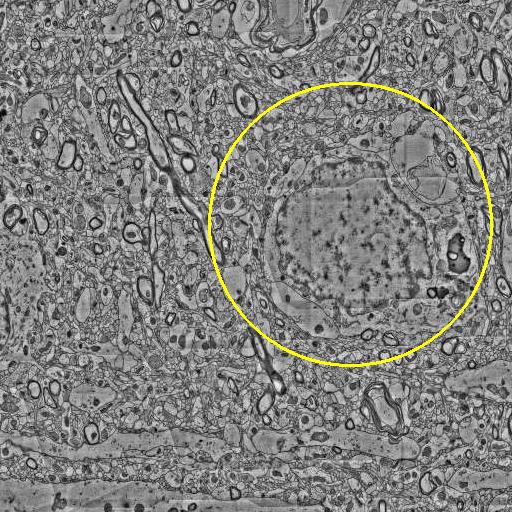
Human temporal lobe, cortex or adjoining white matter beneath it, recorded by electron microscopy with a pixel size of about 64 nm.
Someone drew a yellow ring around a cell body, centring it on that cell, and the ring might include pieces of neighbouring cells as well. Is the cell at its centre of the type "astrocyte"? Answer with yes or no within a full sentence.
No, within the picture, the cell the ring is centred on is a different type.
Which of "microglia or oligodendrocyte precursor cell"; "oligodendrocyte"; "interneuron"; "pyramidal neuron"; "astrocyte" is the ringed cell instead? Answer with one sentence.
Here, the ring is centred on an interneuron instead.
